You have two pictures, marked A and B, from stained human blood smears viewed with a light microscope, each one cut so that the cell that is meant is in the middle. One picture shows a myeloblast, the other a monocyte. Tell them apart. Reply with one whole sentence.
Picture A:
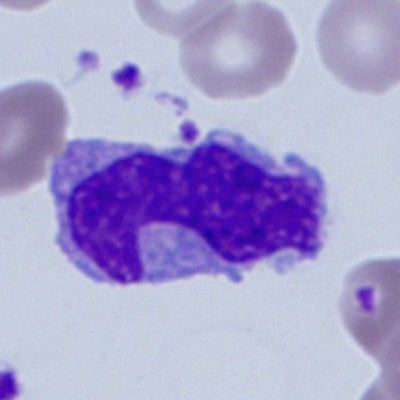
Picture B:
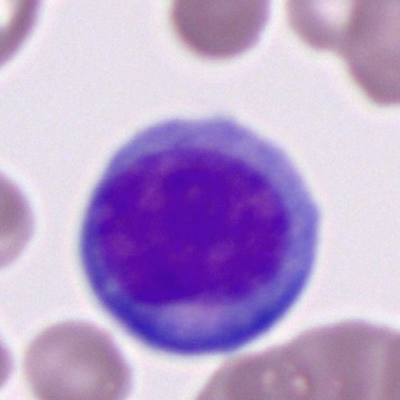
Picture A shows a monocyte and picture B shows a myeloblast.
